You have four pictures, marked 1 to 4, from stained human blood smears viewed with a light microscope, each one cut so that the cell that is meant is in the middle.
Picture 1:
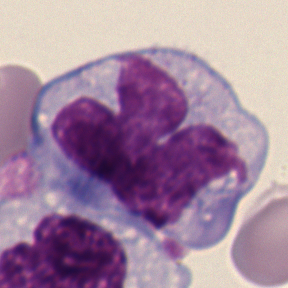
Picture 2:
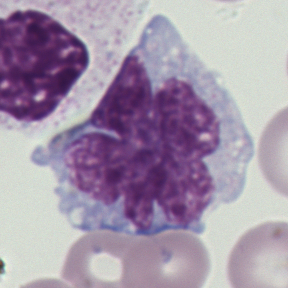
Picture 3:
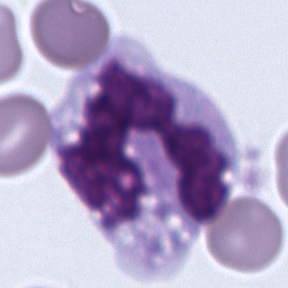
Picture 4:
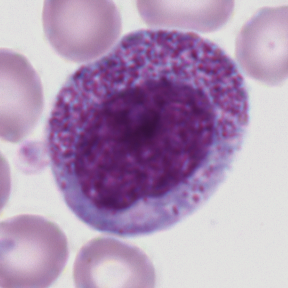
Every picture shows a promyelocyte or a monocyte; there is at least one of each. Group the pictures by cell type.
1: monocyte
2: monocyte
3: monocyte
4: promyelocyte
